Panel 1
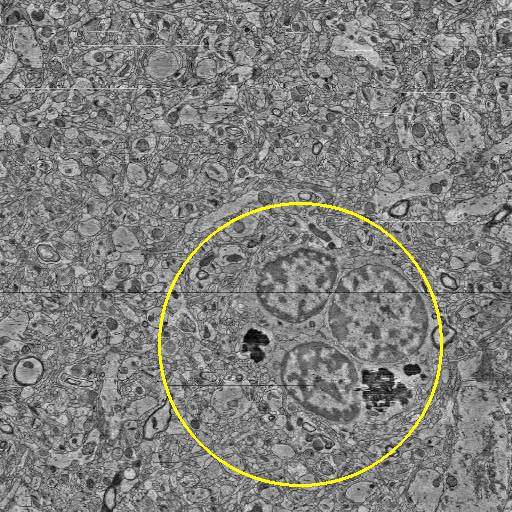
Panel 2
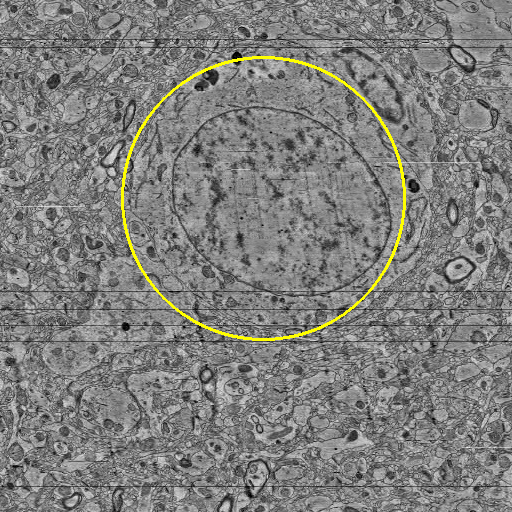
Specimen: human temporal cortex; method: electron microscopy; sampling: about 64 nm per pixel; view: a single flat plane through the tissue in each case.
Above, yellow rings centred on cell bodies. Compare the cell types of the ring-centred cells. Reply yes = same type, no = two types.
no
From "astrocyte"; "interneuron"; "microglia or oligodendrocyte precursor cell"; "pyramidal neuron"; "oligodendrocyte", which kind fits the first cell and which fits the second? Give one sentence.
The cell marked in the first picture is an oligodendrocyte, and the one marked in the second is a pyramidal neuron.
